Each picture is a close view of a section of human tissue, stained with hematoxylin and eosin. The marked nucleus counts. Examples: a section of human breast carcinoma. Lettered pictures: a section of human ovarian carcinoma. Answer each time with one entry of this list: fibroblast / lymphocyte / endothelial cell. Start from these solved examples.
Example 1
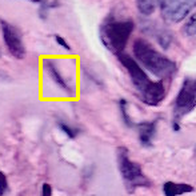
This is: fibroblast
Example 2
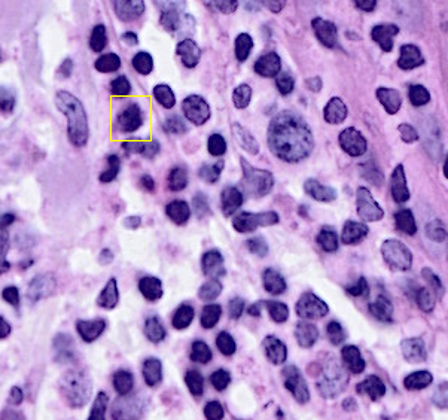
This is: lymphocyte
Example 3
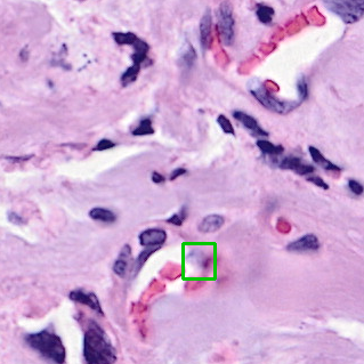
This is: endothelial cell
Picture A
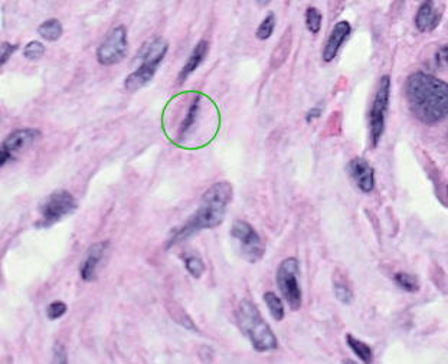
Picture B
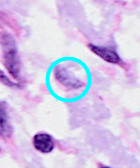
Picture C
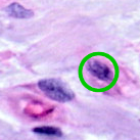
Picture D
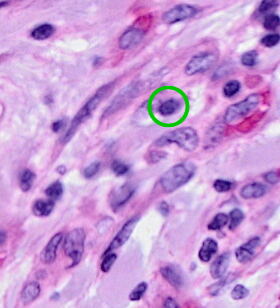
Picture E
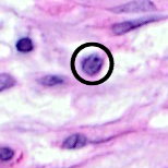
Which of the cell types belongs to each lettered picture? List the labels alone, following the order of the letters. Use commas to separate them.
fibroblast, fibroblast, endothelial cell, lymphocyte, lymphocyte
